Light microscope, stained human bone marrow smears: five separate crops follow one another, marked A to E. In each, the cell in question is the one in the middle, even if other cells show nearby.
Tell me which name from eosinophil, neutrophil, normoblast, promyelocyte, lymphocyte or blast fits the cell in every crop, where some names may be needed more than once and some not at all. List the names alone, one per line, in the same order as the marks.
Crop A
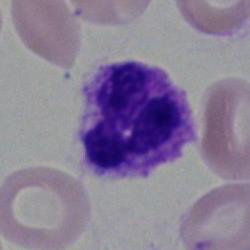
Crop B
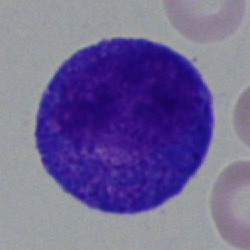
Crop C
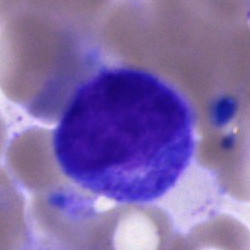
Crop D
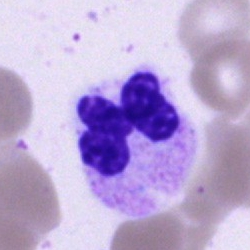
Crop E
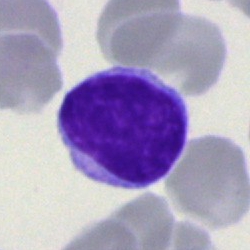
neutrophil
promyelocyte
promyelocyte
neutrophil
lymphocyte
